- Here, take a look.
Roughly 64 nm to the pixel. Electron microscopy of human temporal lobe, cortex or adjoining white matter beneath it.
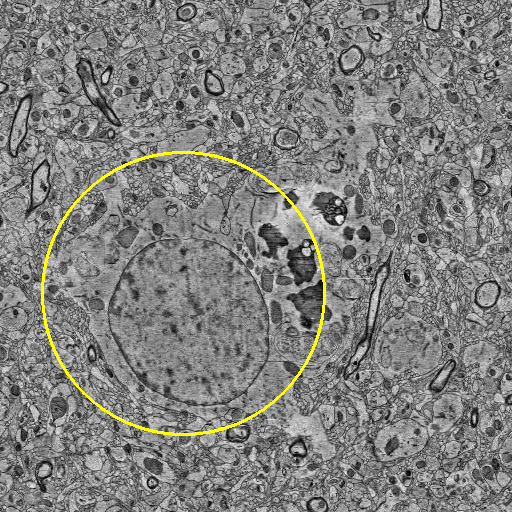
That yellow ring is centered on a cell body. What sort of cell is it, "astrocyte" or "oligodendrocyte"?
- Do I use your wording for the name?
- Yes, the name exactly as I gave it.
astrocyte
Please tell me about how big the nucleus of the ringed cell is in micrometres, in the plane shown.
In this plane, approximately 11 micrometres across.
